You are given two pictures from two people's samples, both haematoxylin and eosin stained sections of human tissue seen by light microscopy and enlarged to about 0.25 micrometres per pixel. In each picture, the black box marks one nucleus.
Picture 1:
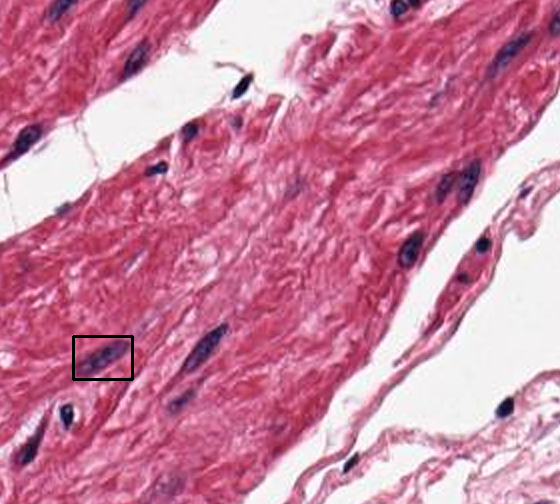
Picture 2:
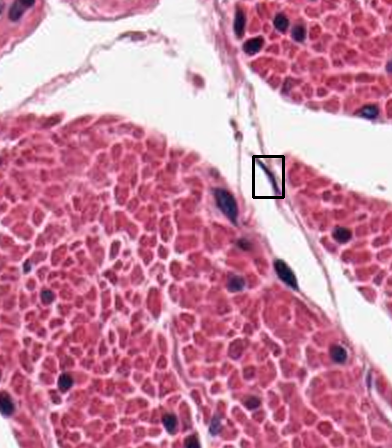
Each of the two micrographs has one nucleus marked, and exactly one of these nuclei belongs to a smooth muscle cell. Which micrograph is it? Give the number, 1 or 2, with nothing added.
1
